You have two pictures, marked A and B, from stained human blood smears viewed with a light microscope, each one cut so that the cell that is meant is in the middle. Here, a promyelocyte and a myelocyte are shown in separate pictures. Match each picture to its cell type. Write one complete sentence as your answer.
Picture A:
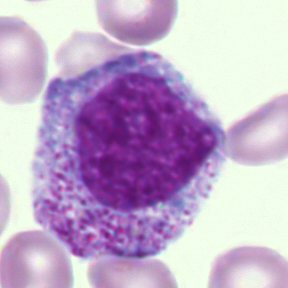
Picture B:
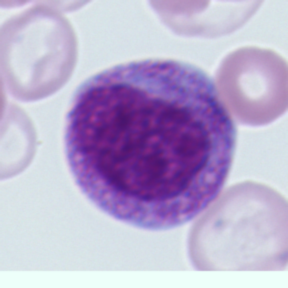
In picture A the cell is a promyelocyte; in picture B, a myelocyte.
